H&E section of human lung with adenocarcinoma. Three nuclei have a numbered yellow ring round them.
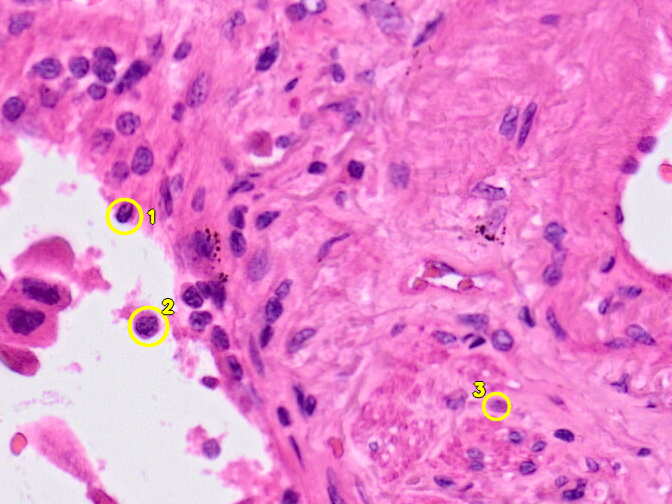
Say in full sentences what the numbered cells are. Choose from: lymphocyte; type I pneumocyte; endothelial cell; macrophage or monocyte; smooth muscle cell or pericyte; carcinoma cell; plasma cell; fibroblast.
Cell 1 is a lymphocyte, cell 2 is a lymphocyte and cell 3 is a smooth muscle cell or pericyte.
